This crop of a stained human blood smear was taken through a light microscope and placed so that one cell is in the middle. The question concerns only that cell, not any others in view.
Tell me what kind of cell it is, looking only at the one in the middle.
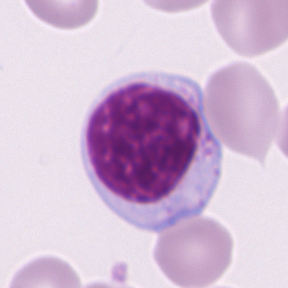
large granular lymphocyte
